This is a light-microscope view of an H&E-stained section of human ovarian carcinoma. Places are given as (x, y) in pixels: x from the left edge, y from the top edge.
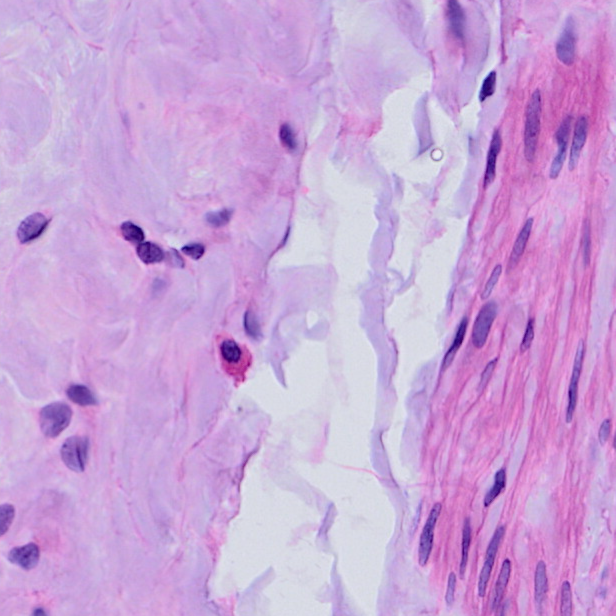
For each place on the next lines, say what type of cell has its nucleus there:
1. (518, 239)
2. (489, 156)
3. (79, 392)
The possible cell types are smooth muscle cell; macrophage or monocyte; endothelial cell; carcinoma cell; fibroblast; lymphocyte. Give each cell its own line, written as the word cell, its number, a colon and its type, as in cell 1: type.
cell 1: smooth muscle cell
cell 2: smooth muscle cell
cell 3: fibroblast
